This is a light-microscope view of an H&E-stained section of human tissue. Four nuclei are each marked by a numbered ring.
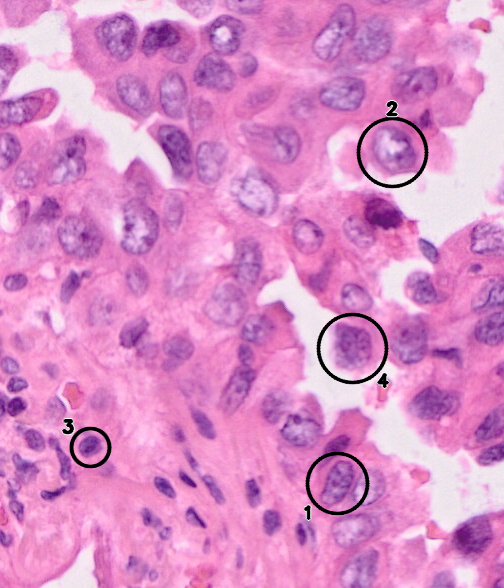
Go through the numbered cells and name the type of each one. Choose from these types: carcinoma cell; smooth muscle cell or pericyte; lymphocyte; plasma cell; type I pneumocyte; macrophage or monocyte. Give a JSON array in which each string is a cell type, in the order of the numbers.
["carcinoma cell", "carcinoma cell", "lymphocyte", "carcinoma cell"]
